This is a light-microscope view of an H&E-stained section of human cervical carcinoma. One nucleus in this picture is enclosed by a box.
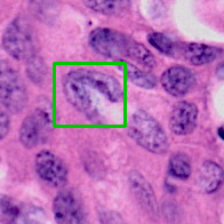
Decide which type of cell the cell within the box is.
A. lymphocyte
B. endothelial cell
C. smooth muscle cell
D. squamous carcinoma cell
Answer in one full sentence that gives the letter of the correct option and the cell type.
The correct response is option D: the cell within the box is a squamous carcinoma cell.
